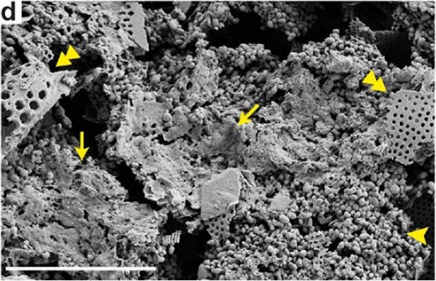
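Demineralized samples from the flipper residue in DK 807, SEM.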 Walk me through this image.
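The small bodies are of fairly even size and bunch into beaded clusters with a grainy surface. Broad, amorphous sheets with a smoother surface drape over parts of these clusters. Dark cracks and gaps separate the masses from one another.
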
